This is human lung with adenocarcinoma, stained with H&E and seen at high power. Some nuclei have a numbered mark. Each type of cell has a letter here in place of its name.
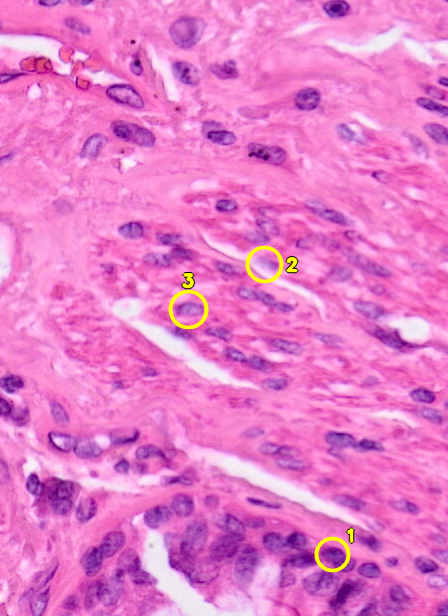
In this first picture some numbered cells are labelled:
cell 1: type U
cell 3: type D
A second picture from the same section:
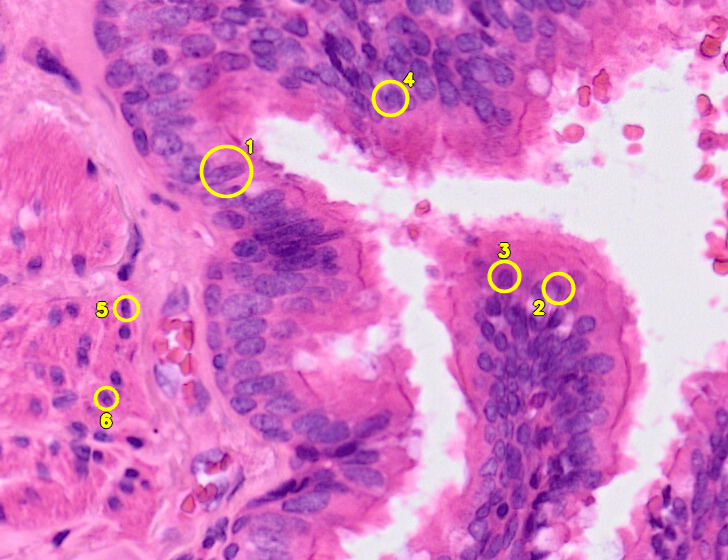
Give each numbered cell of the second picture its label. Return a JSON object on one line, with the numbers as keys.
{"1": "type U", "2": "type U", "3": "type U", "4": "type U", "5": "type D", "6": "type D"}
